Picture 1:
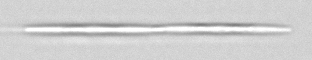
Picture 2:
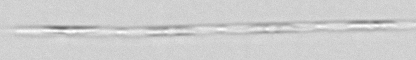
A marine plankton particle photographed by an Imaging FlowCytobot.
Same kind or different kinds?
Same: Pseudo-nitzschia.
